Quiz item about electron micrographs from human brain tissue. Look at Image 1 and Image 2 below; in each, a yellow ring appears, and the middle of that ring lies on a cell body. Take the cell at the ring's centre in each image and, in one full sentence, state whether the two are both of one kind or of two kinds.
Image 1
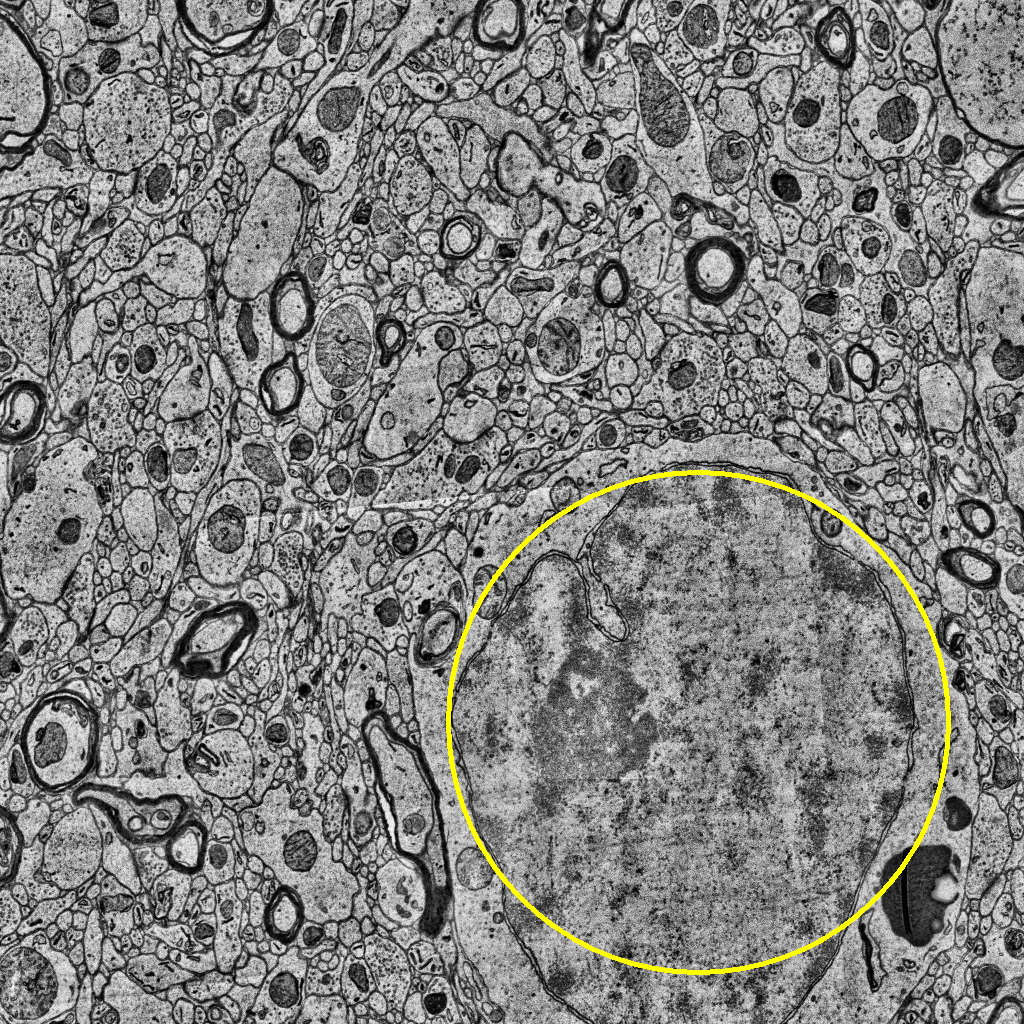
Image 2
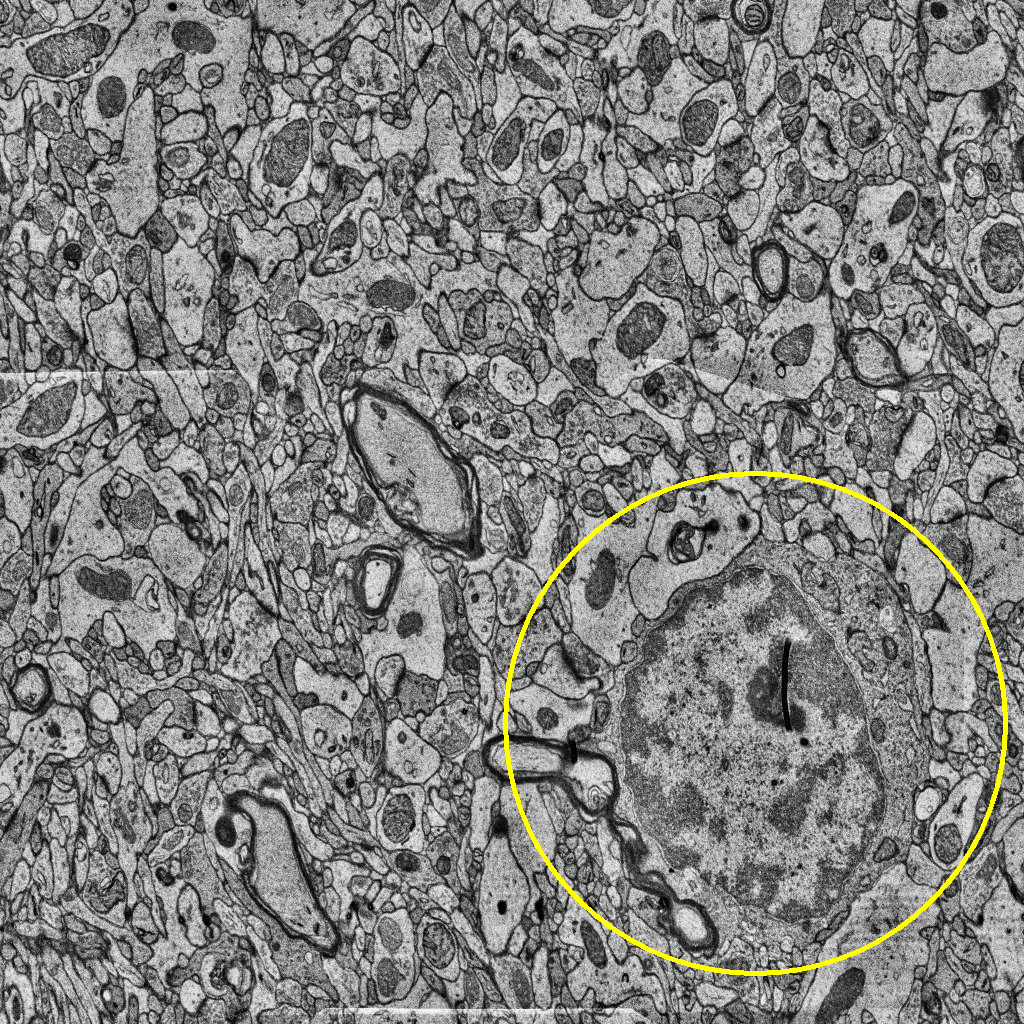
In Image 1 and Image 2, the cells at the ring centres are of two kinds.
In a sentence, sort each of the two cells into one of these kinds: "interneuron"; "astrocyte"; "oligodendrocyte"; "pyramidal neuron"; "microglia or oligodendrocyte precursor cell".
In the first picture it is an interneuron; in the second it is an oligodendrocyte.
